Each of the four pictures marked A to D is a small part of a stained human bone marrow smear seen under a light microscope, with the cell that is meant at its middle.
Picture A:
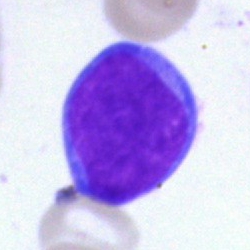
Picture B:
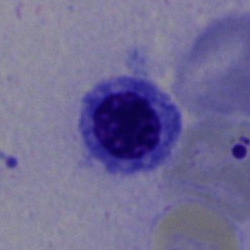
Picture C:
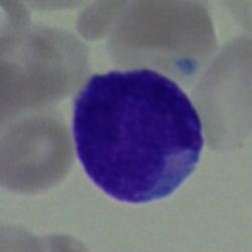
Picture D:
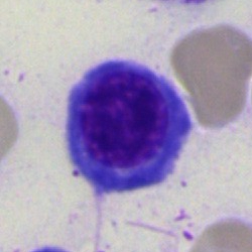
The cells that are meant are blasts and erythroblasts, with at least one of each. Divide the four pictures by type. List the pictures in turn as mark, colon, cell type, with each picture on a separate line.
A: blast
B: erythroblast
C: blast
D: erythroblast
